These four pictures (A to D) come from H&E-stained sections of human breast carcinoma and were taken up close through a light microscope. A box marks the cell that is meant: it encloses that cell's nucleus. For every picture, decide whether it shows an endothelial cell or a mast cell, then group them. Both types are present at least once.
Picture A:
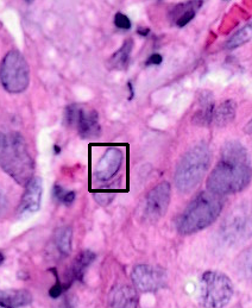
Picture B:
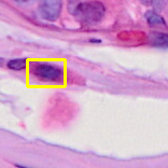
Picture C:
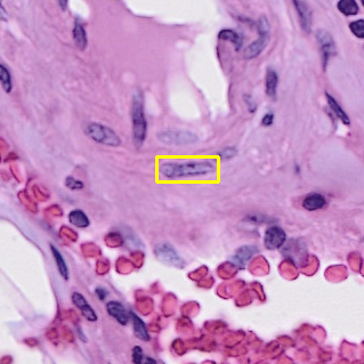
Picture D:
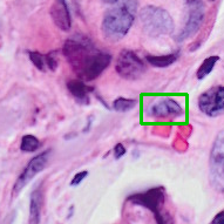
A: endothelial cell
B: mast cell
C: endothelial cell
D: endothelial cell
